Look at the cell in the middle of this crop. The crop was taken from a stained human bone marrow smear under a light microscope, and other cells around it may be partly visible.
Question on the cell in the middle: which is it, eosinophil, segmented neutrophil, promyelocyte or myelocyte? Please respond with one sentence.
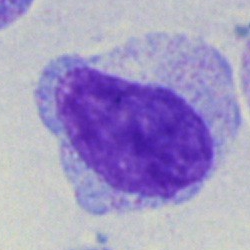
The cell at the middle of the crop is recognized as a myelocyte.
